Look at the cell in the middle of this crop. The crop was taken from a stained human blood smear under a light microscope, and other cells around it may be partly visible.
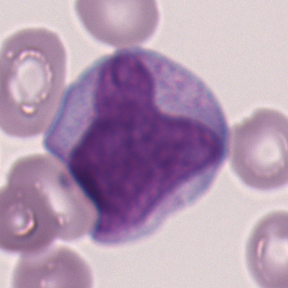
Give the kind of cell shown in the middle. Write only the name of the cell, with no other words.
atypical promyelocyte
